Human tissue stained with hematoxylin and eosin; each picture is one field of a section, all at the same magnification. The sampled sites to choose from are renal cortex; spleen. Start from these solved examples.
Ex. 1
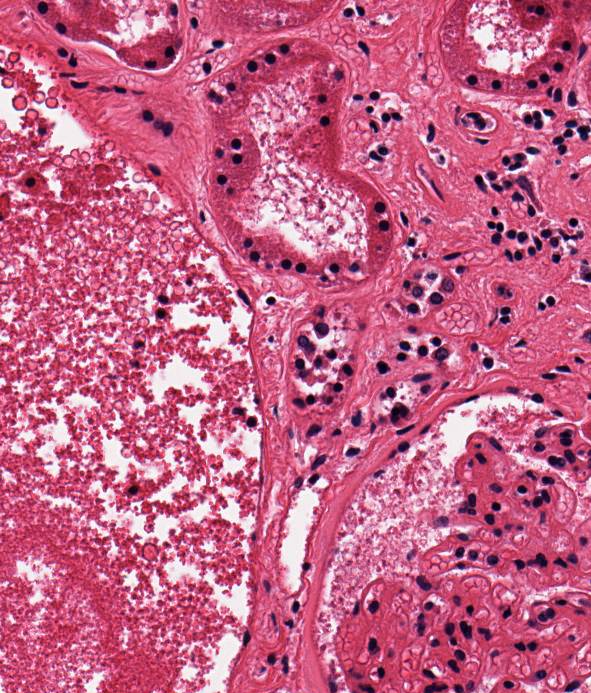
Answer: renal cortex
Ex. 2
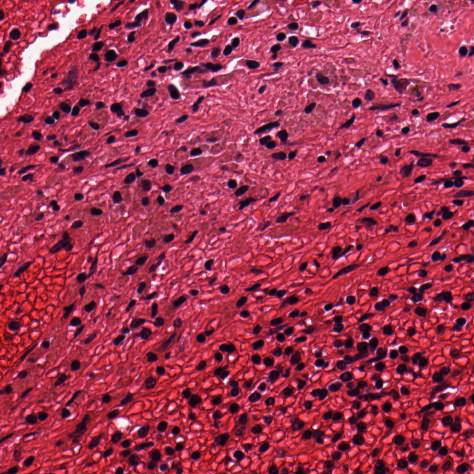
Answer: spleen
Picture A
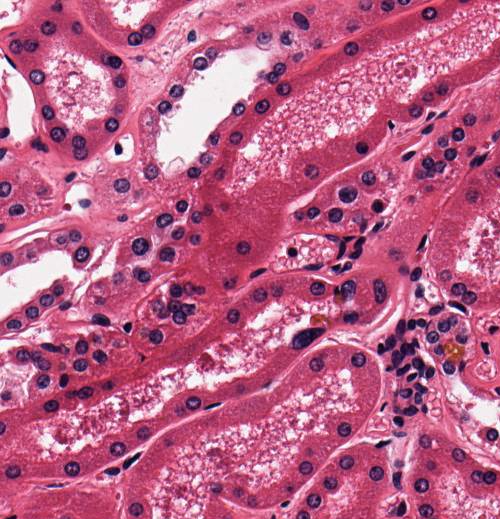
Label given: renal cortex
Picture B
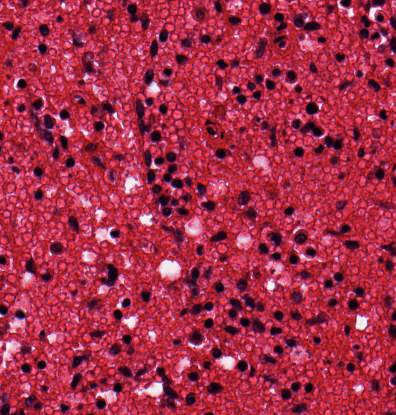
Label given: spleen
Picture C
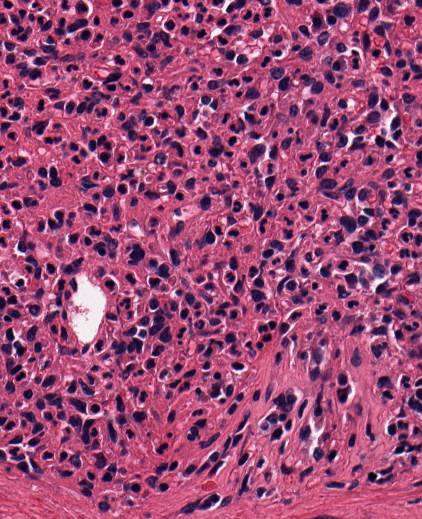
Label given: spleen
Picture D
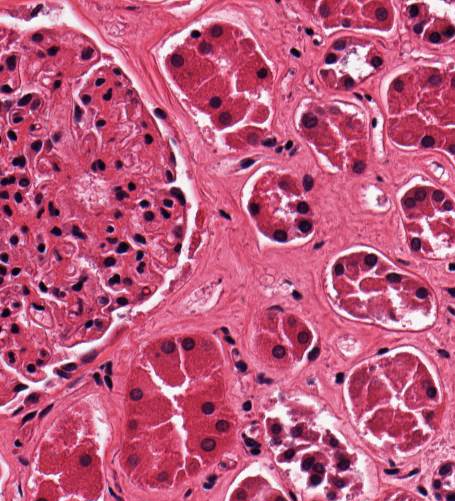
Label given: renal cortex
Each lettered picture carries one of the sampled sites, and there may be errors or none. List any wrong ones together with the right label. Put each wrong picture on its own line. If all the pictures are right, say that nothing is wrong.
Nothing to fix; every label fits.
